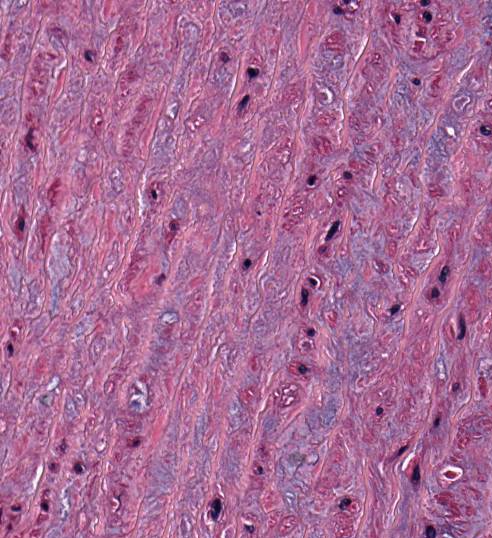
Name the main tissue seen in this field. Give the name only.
tunica media of an artery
